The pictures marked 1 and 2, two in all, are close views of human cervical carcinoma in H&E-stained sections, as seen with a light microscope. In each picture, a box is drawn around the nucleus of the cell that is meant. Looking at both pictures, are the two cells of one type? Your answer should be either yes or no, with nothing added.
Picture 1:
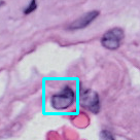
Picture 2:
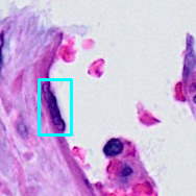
yes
